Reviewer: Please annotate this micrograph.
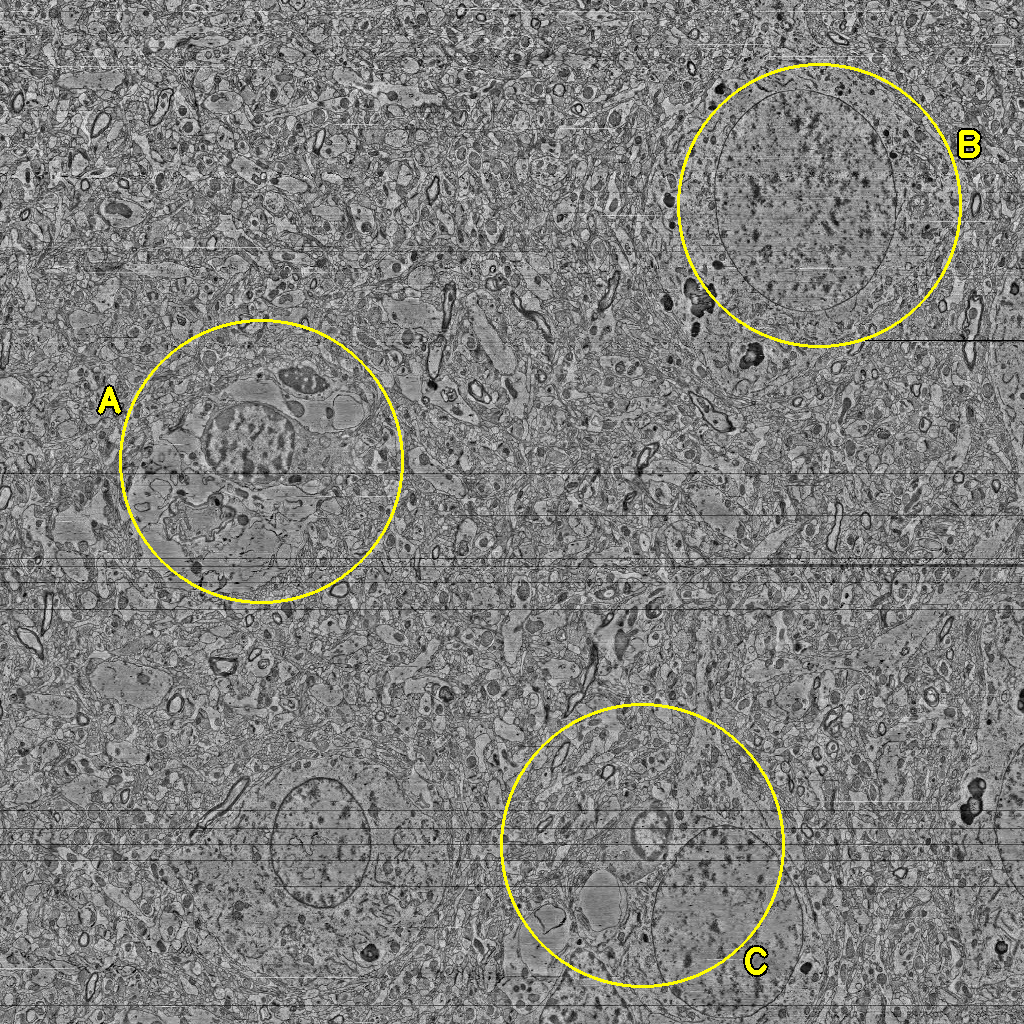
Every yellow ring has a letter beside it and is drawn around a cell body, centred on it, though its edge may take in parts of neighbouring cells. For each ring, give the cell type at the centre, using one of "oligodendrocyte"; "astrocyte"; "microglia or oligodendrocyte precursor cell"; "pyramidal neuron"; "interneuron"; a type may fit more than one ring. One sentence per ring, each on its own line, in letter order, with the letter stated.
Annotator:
The cell in the middle of ring A is an oligodendrocyte.
The cell in the middle of ring B is a pyramidal neuron.
The cell in the middle of ring C is an oligodendrocyte.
